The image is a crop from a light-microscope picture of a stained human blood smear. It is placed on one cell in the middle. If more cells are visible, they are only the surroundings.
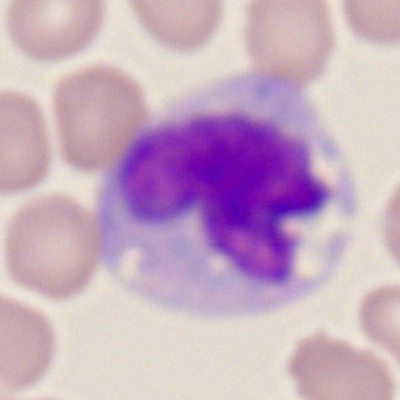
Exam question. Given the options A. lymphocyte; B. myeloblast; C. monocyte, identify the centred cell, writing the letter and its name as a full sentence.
The central cell in this crop is a monocyte, corresponding to option C, the correct option.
